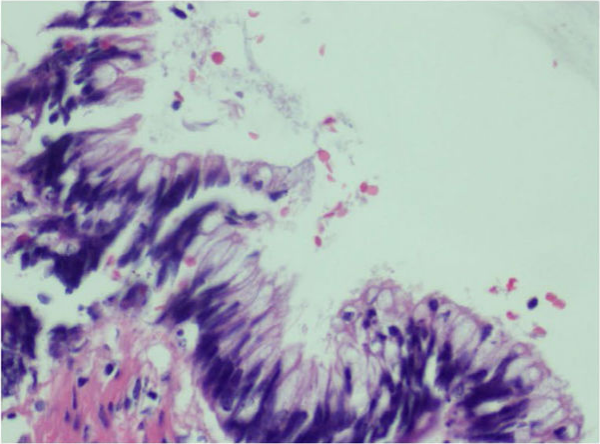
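A folded lining of tall columnar mucinous epithelium borders an empty lumen. The cells have pale, finely vacuolated apical cytoplasm holding mucin. Their nuclei are elongated, densely purple and crowded toward the base, giving a partly stratified look in places. Scattered red blood cells lie free in the lumen beside the epithelium. A strip of pink stroma is seen at the lower left beneath the epithelium.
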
